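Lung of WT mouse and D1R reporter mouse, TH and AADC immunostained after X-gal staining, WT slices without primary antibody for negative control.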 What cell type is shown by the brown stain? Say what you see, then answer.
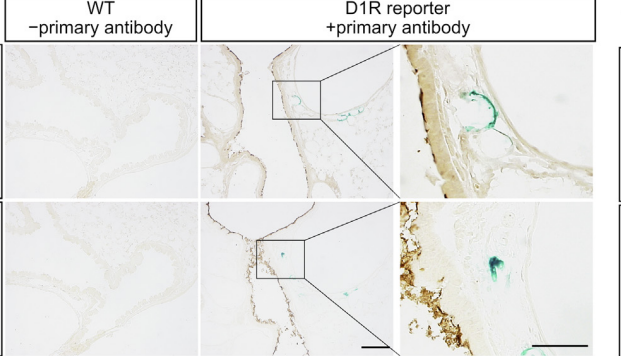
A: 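Brown staining lines the inner surface of a thin-walled tube. On this evidence: airway epithelium cells.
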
